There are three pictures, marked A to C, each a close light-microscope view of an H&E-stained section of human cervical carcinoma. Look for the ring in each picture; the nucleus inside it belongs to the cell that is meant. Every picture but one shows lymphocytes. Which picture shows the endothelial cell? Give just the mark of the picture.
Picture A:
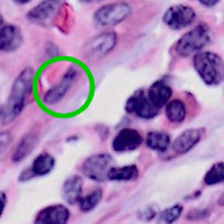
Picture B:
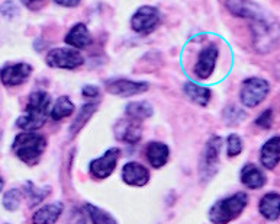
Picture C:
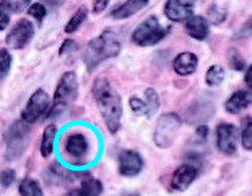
A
